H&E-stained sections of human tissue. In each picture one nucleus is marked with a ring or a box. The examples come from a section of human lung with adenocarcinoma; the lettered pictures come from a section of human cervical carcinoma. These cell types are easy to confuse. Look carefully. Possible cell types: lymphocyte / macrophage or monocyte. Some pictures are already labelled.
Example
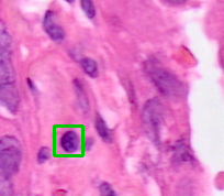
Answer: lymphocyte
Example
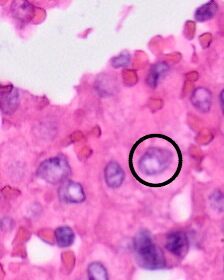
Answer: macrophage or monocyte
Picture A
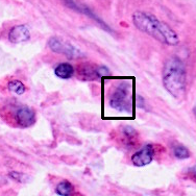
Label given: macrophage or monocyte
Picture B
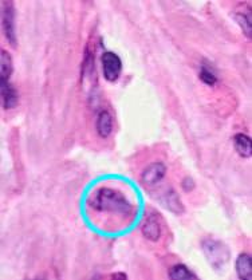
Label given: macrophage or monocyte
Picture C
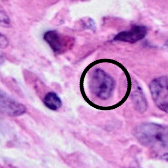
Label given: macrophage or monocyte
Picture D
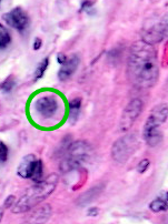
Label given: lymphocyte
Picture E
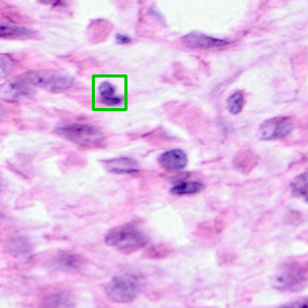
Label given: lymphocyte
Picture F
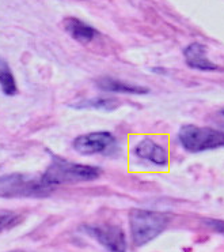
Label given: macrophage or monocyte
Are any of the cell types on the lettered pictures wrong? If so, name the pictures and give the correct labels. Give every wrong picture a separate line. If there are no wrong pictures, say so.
No label is wrong.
